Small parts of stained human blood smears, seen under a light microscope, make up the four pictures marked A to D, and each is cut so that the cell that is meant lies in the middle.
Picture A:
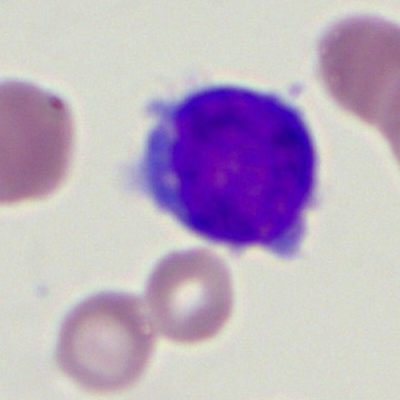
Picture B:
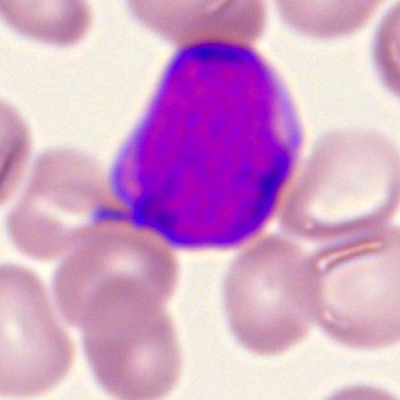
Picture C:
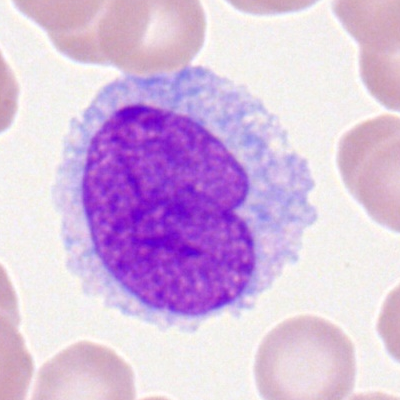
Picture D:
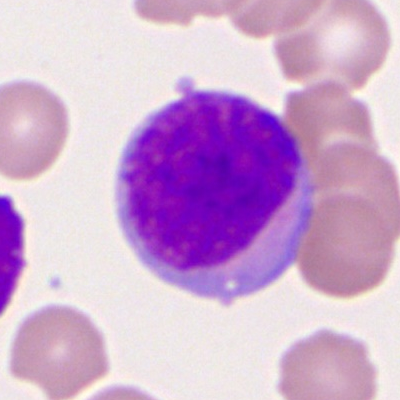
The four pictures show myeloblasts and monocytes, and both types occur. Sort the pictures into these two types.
A: myeloblast
B: myeloblast
C: monocyte
D: myeloblast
